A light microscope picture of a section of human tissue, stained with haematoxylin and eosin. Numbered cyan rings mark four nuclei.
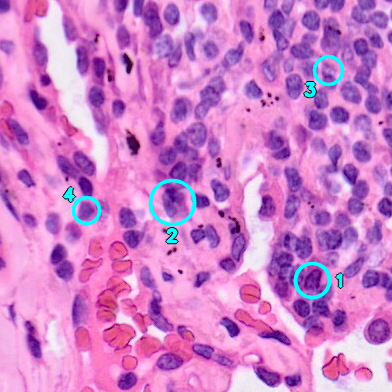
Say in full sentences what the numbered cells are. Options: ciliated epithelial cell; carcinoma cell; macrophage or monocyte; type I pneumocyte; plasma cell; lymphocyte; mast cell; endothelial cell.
Cell 1 is a plasma cell. Cells 2, 3 and 4 are lymphocytes.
